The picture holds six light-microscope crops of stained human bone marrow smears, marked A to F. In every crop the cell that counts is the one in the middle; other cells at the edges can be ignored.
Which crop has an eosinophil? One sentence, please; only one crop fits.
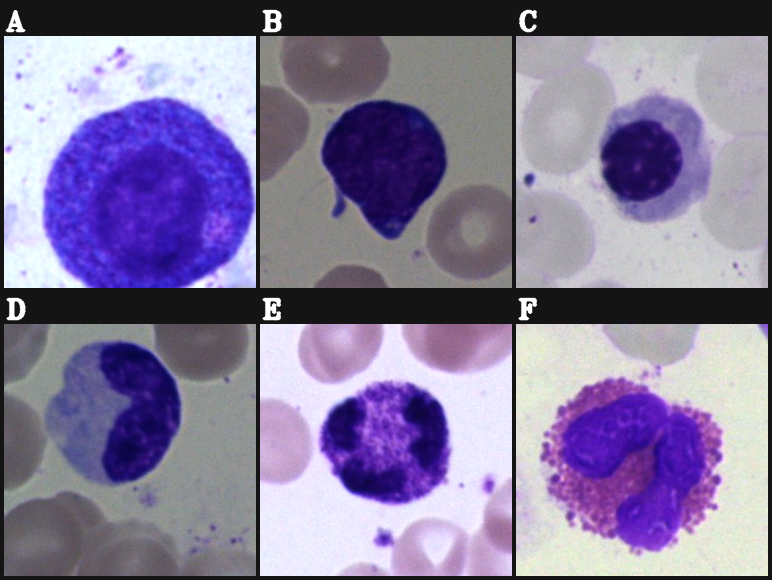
Crop F shows an eosinophil, and no other crop does.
